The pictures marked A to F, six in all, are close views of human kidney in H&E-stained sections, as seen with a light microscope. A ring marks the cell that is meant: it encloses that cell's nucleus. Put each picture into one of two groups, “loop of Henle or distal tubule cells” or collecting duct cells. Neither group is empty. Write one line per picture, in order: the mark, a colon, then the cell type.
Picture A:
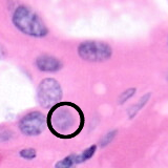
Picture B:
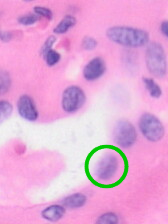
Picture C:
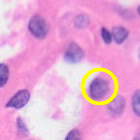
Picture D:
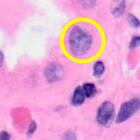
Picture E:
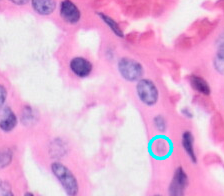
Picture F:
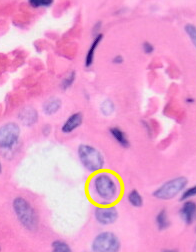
A: collecting duct cell
B: collecting duct cell
C: loop of Henle or distal tubule cell
D: loop of Henle or distal tubule cell
E: collecting duct cell
F: collecting duct cell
